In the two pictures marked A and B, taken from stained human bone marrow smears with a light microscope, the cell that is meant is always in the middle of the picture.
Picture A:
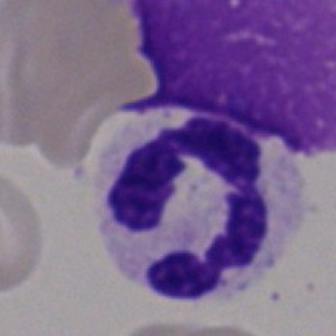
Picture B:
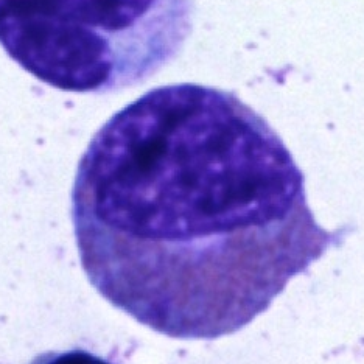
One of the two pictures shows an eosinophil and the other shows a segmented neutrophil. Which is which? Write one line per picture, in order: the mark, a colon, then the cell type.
A: segmented neutrophil
B: eosinophil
